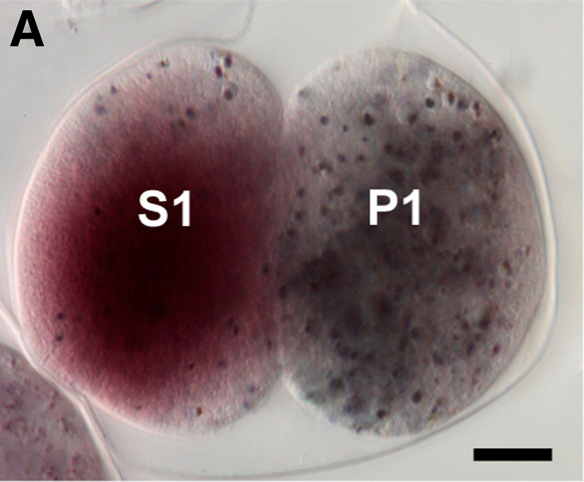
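The two blastomeres are large, rounded and of roughly similar size, pressed together along a flat shared boundary. The left, anterior blastomere is filled with an intense red-purple stain, strongest in its centre and fading toward the edges. Small dark brownish pigment granules are dispersed through the cytoplasm of both cells but are clearly more numerous and densely clustered in the right blastomere, giving it a speckled, darker appearance.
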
